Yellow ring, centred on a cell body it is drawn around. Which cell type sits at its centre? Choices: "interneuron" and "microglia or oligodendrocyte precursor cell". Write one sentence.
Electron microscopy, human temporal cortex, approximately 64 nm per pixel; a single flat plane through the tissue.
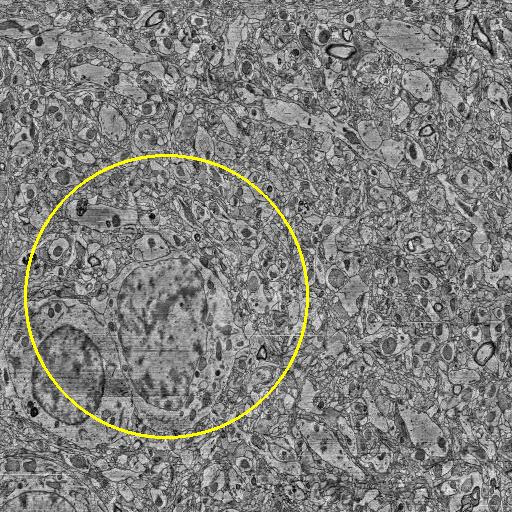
At the centre of the ring sits an interneuron.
